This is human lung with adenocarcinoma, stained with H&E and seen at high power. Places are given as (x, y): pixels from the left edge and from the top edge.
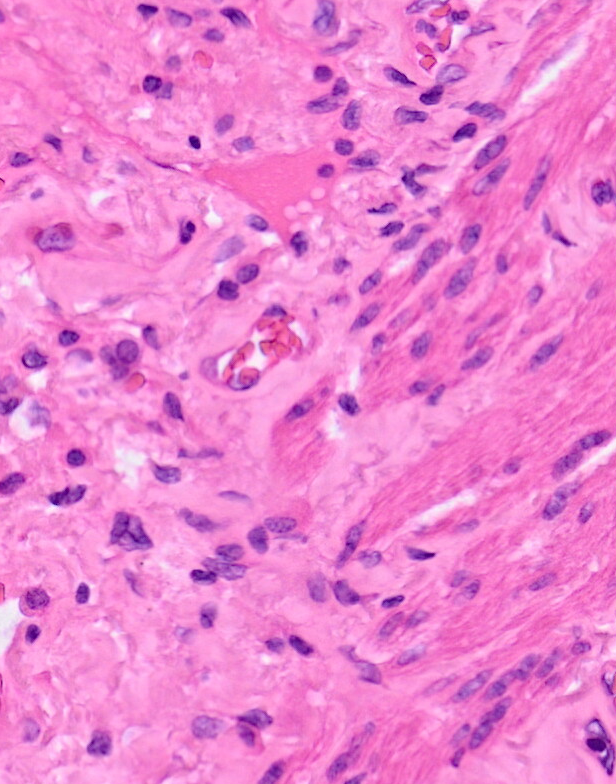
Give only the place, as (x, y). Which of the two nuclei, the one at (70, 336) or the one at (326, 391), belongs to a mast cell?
(70, 336)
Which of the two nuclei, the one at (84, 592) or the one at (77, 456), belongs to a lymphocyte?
(84, 592)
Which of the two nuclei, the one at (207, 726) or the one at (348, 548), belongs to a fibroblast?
(207, 726)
